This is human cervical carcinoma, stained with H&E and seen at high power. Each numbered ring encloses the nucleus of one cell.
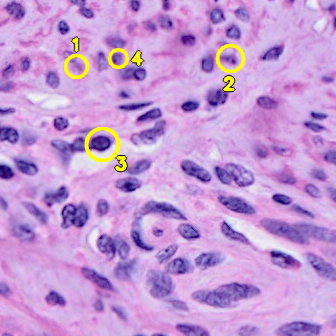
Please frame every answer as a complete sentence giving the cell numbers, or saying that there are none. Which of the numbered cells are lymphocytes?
Only the cell with number 3 is a lymphocyte.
